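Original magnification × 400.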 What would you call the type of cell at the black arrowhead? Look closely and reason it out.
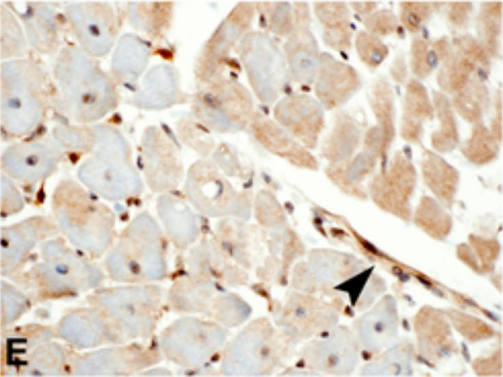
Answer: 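The arrowhead points to a thin, elongated, dark brown cell lying along the edge of a clear space. The cell is much narrower than the surrounding large fibres.
Hence: endothelial cells.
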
